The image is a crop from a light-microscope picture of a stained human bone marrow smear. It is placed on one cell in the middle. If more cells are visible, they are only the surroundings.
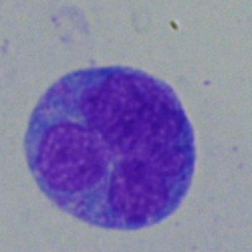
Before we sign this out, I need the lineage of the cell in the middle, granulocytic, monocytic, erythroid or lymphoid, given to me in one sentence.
The cell in the middle is allocated to the monocytic lineage.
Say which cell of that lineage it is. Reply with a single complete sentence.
The cell found in the middle of this crop is a monocyte.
